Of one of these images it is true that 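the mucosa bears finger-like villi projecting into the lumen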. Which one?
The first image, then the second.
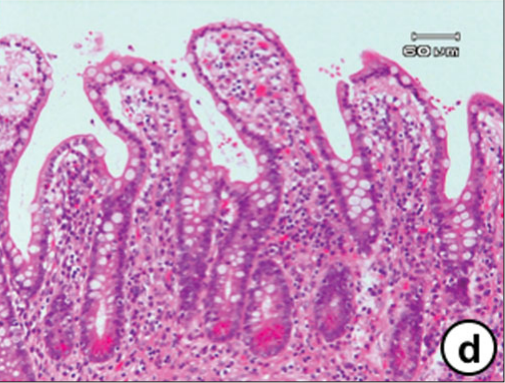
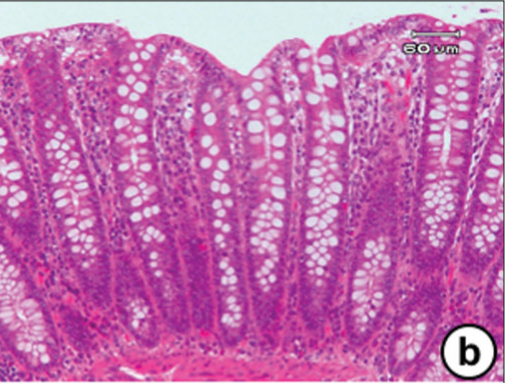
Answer: The first image.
